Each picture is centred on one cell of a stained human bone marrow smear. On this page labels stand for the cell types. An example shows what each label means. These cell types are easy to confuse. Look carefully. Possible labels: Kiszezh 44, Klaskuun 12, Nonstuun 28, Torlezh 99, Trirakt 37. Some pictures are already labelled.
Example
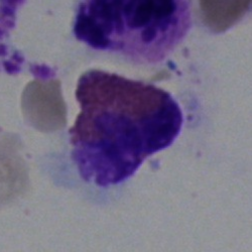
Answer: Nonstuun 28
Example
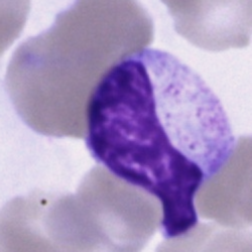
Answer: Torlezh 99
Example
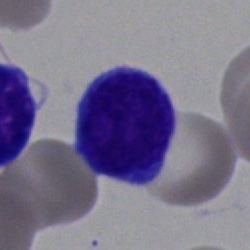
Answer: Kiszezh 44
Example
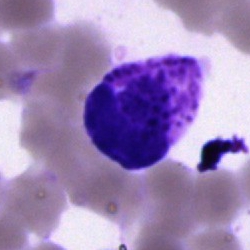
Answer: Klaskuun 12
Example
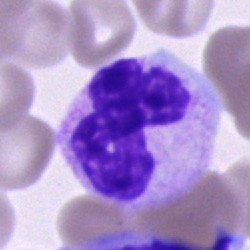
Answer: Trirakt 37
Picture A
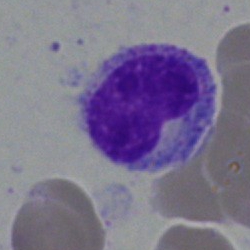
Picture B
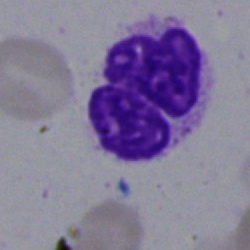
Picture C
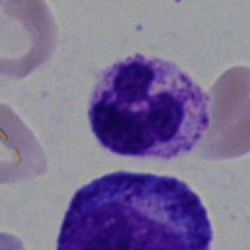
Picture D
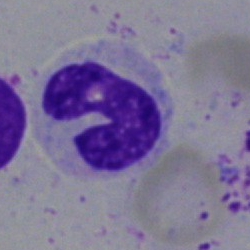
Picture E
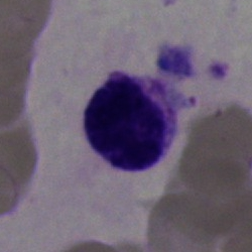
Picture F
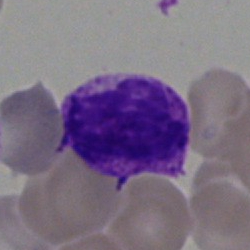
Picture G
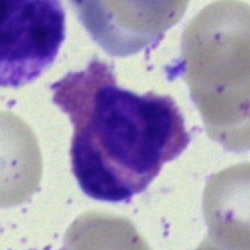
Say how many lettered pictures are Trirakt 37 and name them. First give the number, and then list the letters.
3: B, C, D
